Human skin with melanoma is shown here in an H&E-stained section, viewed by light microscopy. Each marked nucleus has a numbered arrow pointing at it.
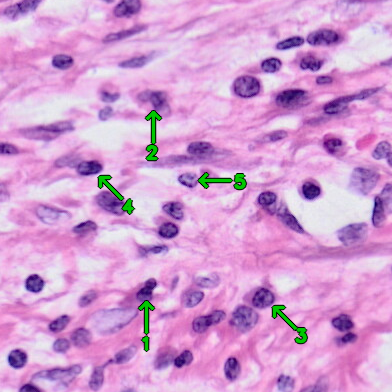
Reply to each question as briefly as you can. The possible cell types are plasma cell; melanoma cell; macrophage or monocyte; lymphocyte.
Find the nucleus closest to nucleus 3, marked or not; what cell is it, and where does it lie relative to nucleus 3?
a plasma cell; below and to the left of nucleus 3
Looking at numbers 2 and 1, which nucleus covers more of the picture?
2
